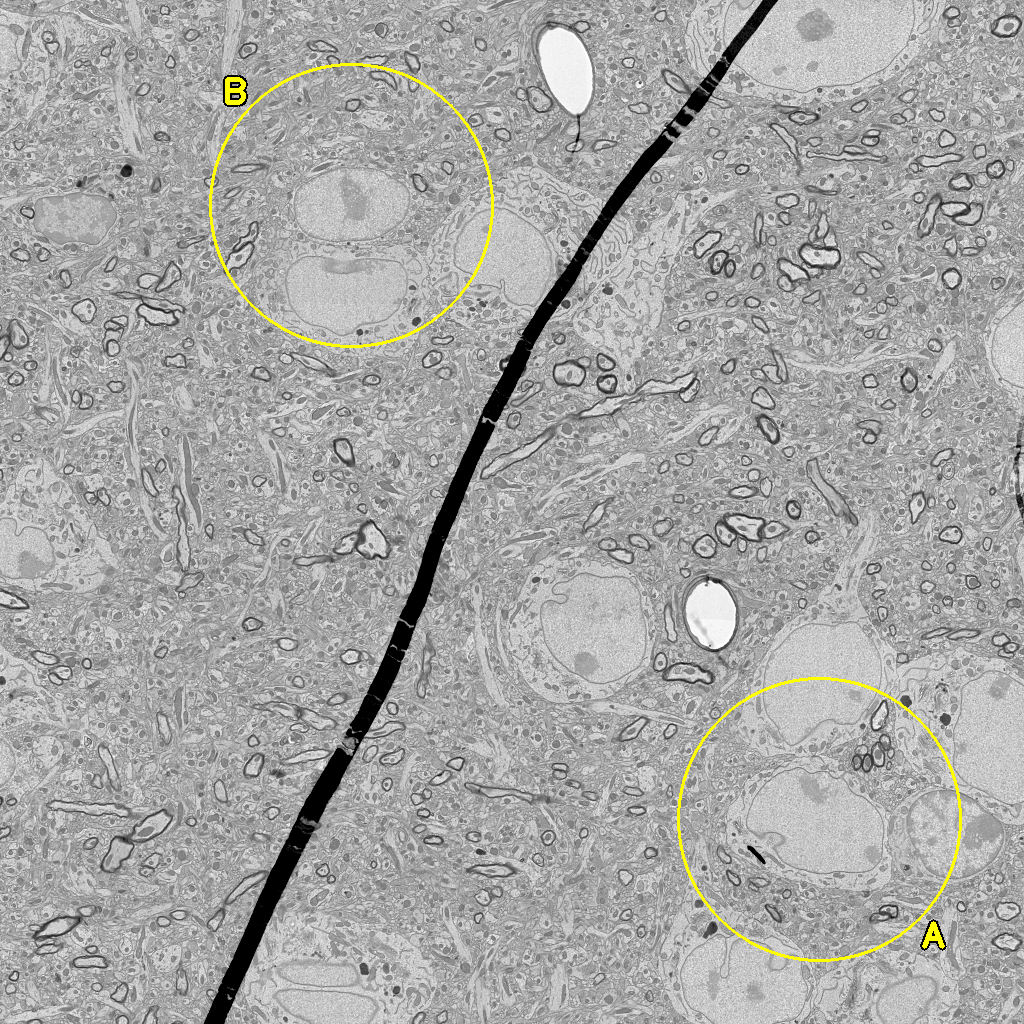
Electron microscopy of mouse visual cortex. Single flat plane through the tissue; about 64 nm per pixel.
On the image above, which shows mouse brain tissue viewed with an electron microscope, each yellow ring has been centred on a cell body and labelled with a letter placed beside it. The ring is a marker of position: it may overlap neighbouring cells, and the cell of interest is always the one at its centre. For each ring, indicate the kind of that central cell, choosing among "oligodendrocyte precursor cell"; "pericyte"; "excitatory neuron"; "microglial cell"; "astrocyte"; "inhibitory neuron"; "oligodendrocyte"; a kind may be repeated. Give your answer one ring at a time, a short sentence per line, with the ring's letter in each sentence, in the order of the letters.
Ring A shows an excitatory neuron at its centre.
Ring B shows an astrocyte at its centre.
